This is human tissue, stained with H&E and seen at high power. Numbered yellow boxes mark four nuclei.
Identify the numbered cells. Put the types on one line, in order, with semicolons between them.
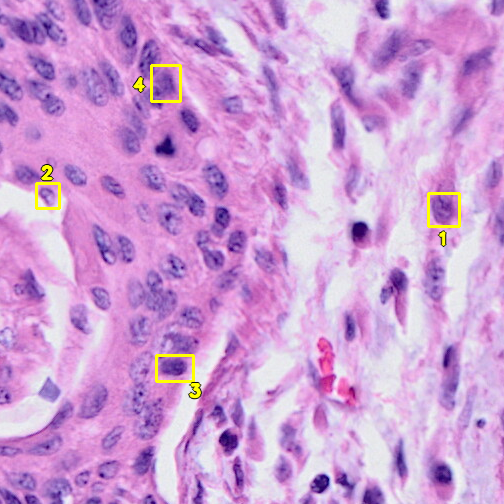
macrophage or monocyte; squamous carcinoma cell; squamous carcinoma cell; squamous carcinoma cell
